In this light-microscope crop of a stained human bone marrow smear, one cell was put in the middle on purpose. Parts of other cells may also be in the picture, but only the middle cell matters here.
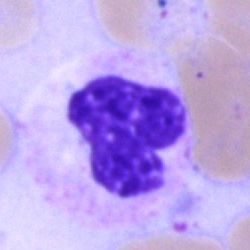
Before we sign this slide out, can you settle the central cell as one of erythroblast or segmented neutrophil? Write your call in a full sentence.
The middle of this crop is occupied by a segmented neutrophil.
